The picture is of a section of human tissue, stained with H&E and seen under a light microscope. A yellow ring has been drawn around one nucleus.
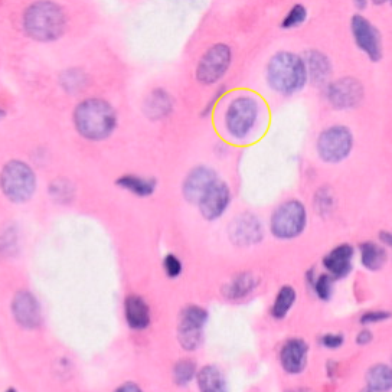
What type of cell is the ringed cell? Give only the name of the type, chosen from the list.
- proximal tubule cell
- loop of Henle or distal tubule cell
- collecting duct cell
collecting duct cell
